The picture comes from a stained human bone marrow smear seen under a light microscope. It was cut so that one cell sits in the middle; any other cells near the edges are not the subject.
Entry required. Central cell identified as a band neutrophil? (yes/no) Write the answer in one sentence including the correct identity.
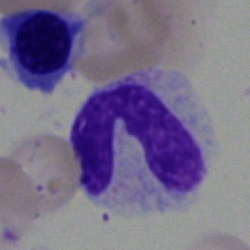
Yes, the crop's central cell is a band neutrophil.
